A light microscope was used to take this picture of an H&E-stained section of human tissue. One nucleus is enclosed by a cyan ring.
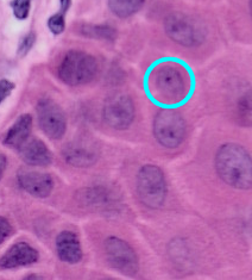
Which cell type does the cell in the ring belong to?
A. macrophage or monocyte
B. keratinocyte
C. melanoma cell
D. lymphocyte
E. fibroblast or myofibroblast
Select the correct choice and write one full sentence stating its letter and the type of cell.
Option B is the right choice, for the cell in the ring is a keratinocyte.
